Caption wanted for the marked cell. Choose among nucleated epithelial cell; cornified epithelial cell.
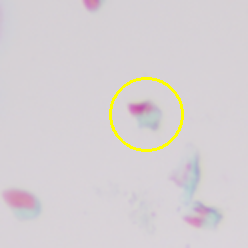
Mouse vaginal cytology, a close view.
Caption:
Ringed in yellow is a nucleated epithelial cell.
